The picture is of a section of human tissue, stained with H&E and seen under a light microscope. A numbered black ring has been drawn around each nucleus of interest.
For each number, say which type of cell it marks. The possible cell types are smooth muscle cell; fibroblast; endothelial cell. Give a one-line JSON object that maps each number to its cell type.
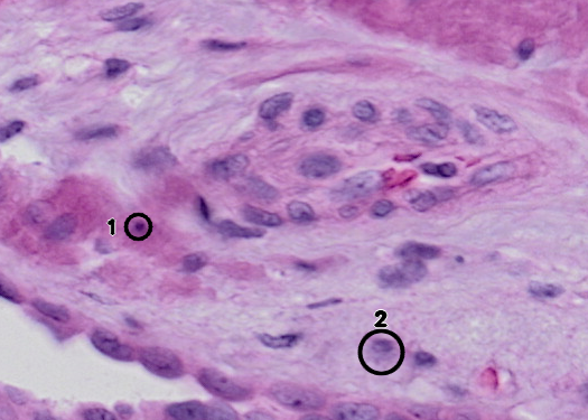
{"1": "smooth muscle cell", "2": "fibroblast"}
